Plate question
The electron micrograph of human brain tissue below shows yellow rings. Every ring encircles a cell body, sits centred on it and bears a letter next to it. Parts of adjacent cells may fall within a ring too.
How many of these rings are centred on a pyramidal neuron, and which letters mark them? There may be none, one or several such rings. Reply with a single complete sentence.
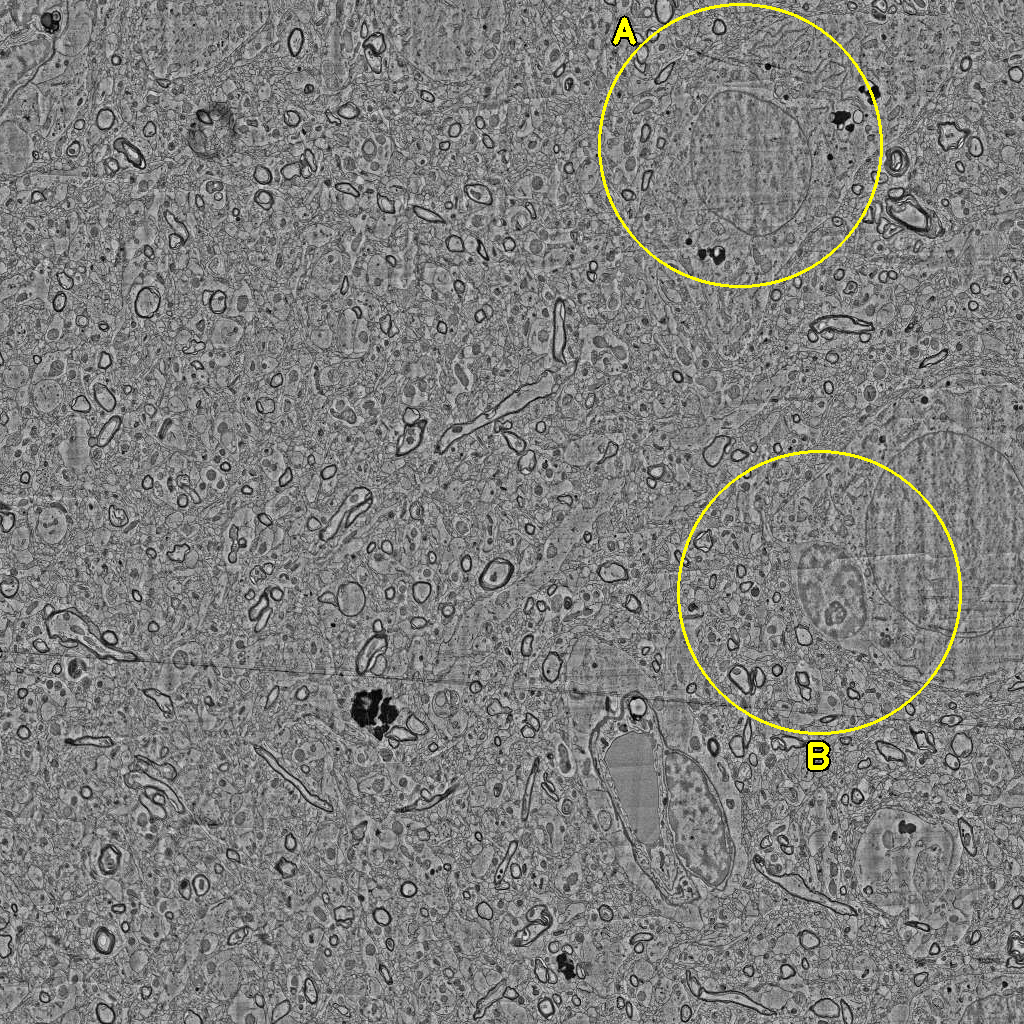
Only one ring takes a pyramidal neuron as its centre, and the letter A sits beside it.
